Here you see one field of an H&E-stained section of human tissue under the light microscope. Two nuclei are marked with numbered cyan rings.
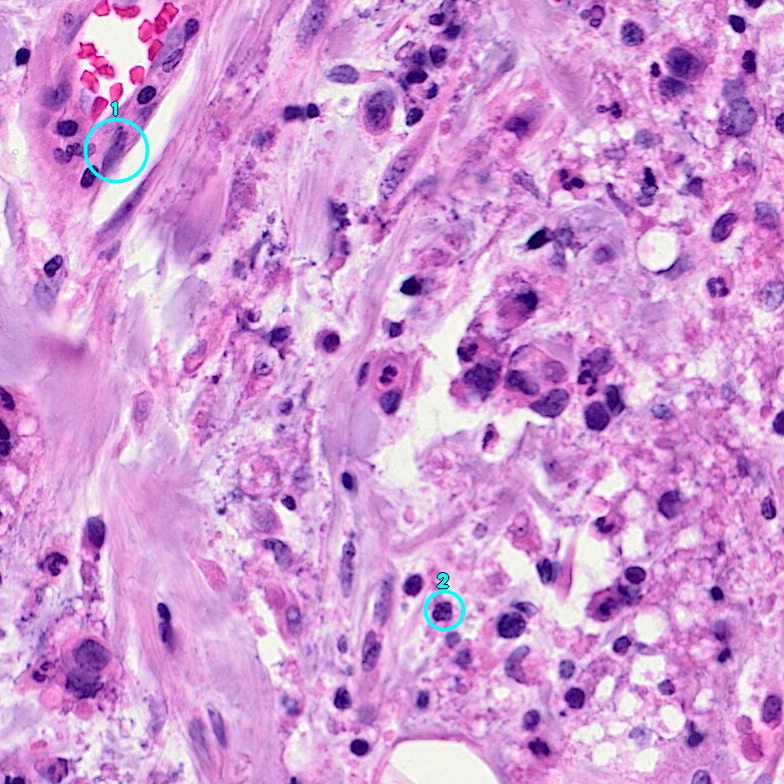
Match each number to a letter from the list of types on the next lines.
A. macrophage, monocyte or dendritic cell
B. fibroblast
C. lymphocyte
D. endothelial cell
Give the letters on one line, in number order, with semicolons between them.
D; C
